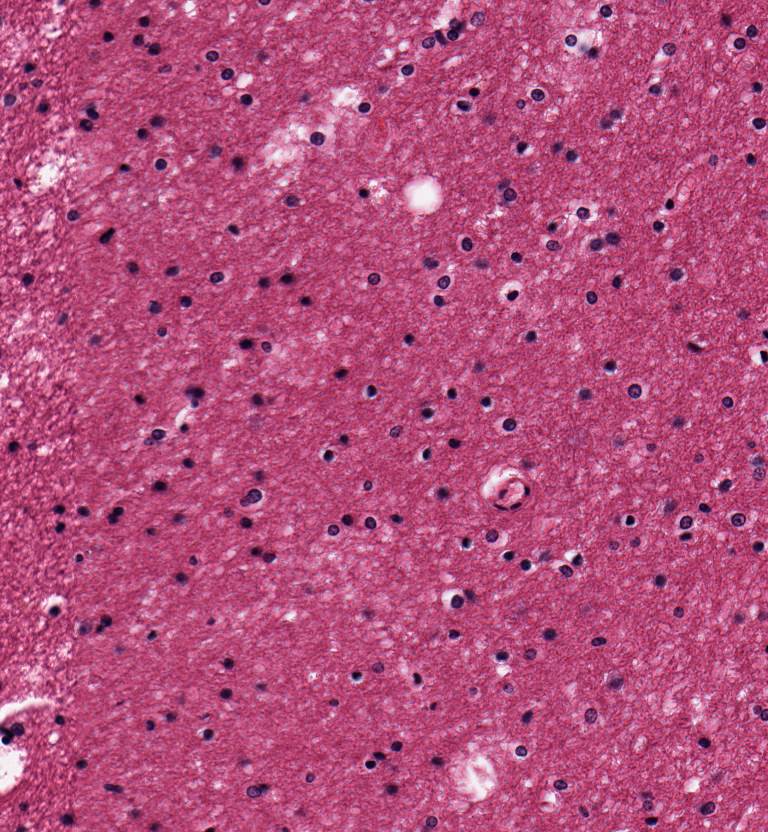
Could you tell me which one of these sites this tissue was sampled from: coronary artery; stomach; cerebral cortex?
cerebral cortex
